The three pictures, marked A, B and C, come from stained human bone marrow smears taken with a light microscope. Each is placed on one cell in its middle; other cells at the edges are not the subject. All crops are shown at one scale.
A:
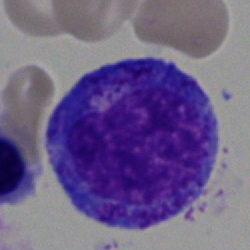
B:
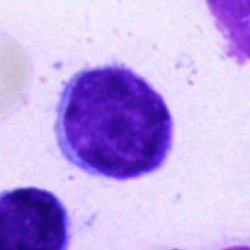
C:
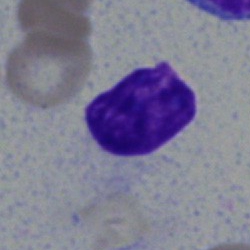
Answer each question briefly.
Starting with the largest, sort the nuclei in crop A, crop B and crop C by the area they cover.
A, B, C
